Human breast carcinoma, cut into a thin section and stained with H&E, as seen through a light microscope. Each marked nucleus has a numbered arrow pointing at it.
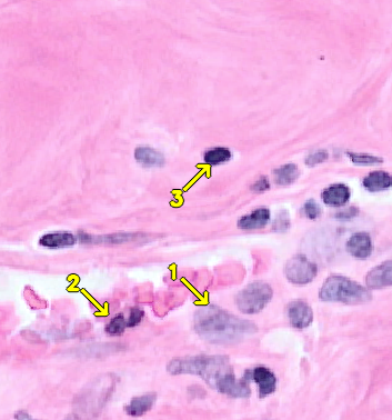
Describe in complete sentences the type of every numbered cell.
Cell 1 is an endothelial cell, cell 2 is an endothelial cell and cell 3 is a lymphocyte.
